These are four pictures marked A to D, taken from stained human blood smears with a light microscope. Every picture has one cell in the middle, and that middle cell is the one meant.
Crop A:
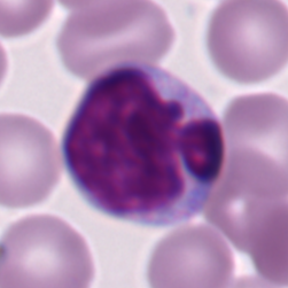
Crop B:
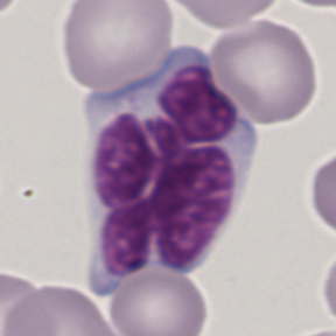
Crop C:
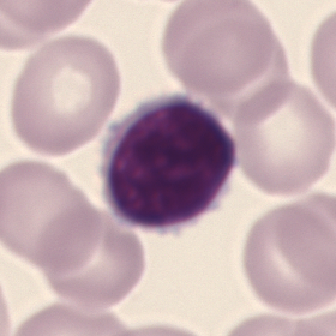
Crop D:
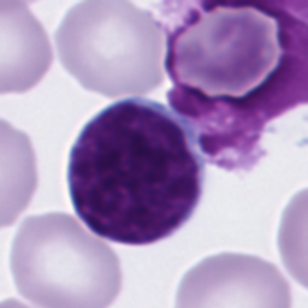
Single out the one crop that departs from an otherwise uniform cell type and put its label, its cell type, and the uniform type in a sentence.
In this set the other crops all show typical lymphocytes, and crop A shows a large granular lymphocyte.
